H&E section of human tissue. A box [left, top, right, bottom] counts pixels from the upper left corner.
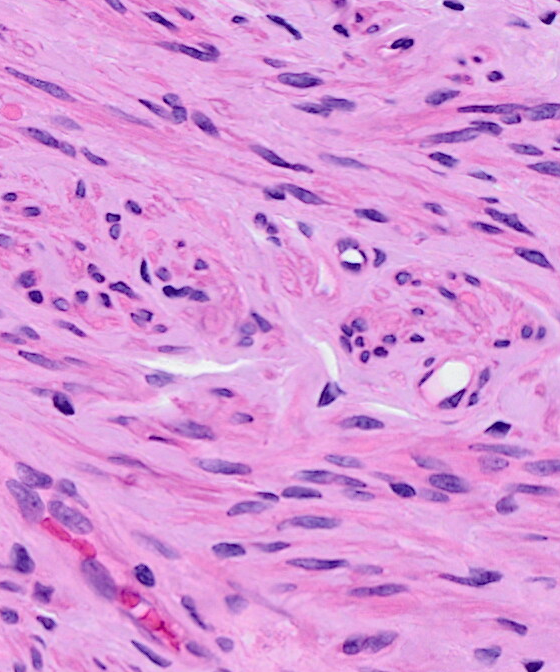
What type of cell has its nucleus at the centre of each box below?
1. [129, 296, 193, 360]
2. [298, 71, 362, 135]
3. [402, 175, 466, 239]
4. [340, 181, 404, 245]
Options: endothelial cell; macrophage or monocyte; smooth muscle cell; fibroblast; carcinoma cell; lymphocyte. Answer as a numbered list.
1. smooth muscle cell
2. fibroblast
3. smooth muscle cell
4. smooth muscle cell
